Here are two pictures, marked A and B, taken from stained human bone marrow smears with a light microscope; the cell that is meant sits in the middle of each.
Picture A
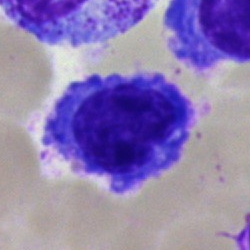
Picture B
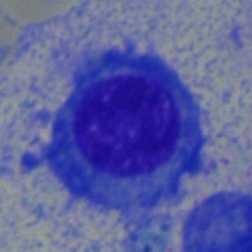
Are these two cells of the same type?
yes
